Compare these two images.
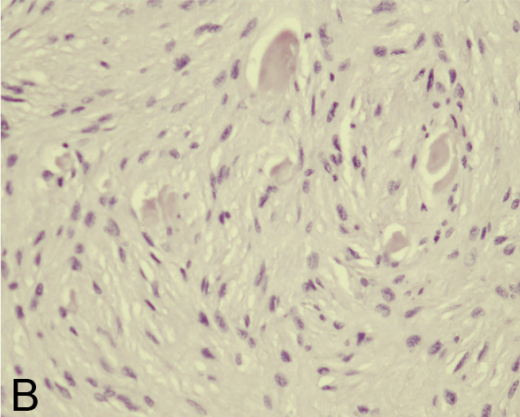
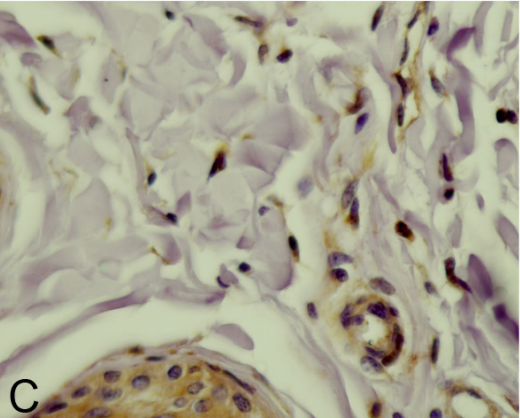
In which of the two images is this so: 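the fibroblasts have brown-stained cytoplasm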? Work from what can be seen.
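Second image: spindle cells between collagen bundles show brown cytoplasm. First image: spindle cells show only blue nuclei with no brown.
The second image.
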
